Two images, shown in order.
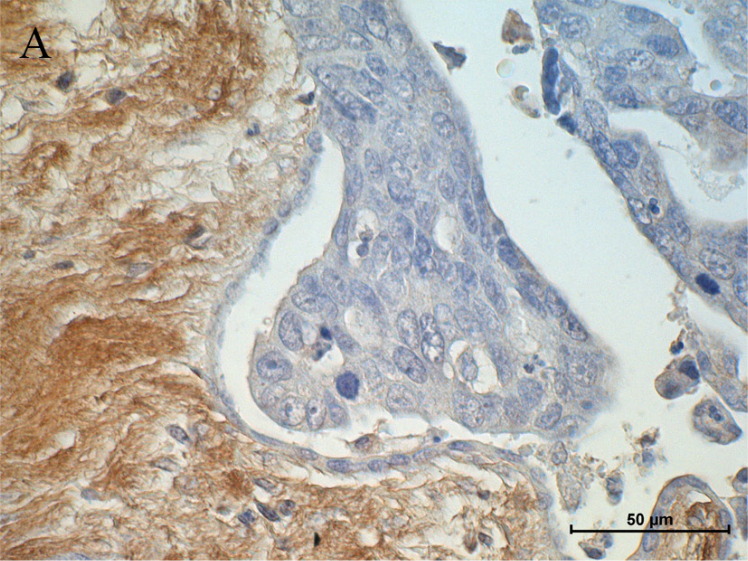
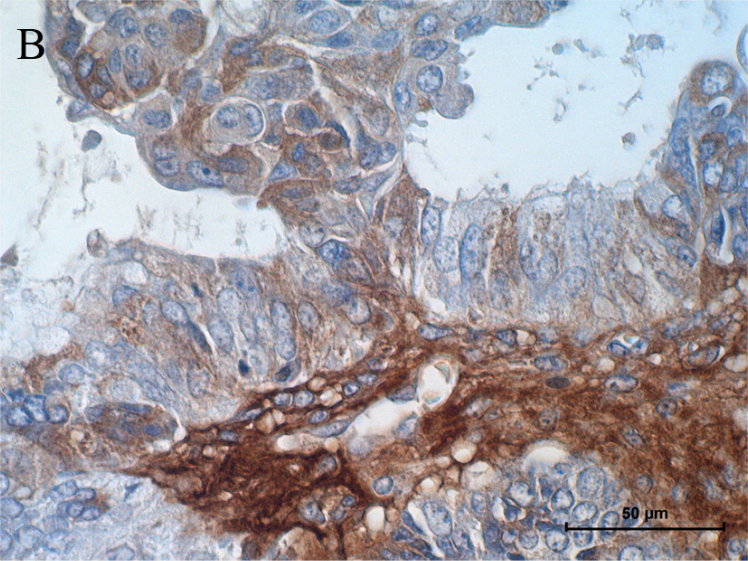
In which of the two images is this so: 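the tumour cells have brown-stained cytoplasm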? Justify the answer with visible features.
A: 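Second image: the crowded epithelial cells in the upper cluster show brown cytoplasm around blue nuclei. First image: the epithelial cell clusters are blue with no brown, while only the surrounding fibrous tissue is brown.
Conclusion: the second image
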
